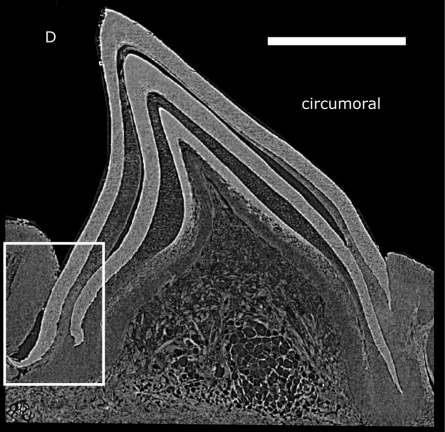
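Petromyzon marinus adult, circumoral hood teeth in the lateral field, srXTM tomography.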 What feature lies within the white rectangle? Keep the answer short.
Space between the ‘gingival’ epithelium and the primary horn cap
